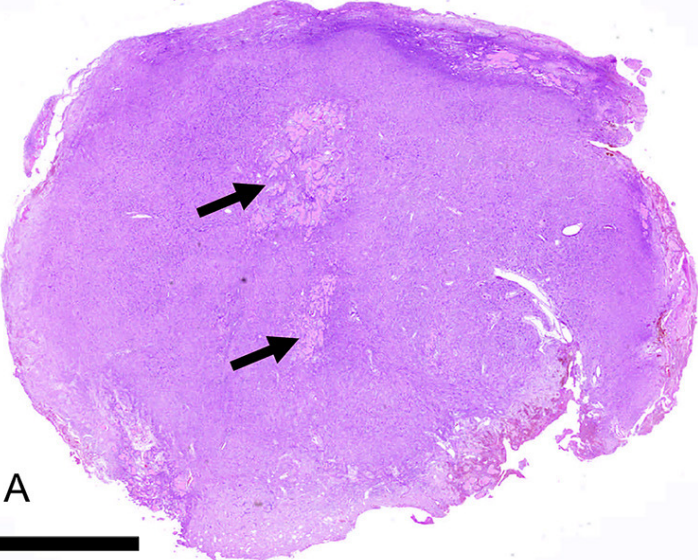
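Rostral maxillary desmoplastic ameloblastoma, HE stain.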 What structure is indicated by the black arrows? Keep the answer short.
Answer: osseous matrix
